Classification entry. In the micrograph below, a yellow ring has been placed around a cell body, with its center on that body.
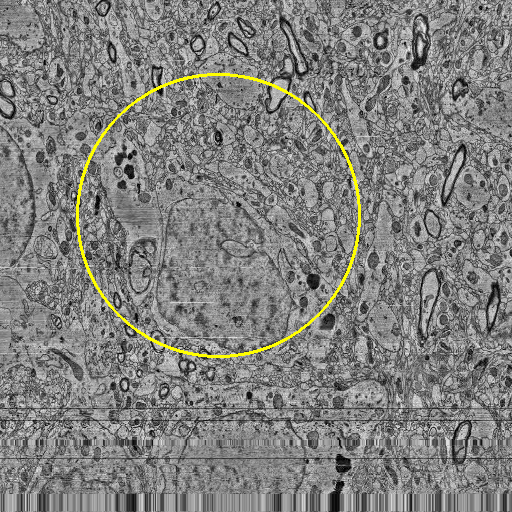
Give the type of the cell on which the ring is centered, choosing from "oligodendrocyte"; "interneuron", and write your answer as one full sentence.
The cell body at the center of the yellow ring belongs to an interneuron.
